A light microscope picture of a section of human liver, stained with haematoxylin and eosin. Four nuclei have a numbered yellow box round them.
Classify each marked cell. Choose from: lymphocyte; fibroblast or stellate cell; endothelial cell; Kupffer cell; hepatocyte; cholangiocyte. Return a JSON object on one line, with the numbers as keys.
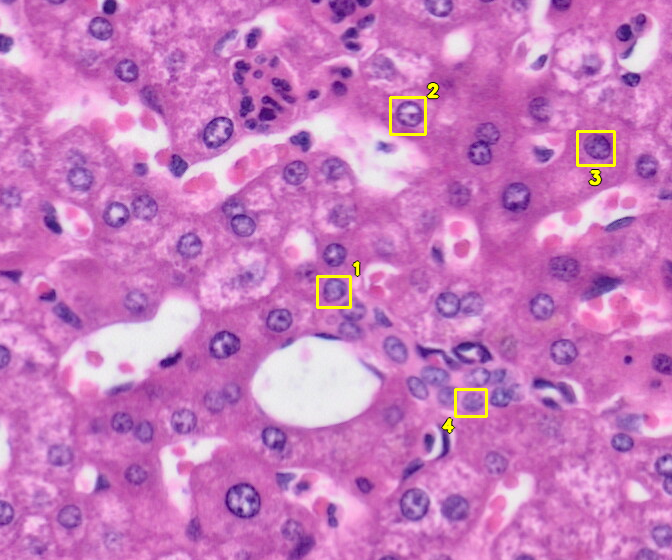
{"1": "cholangiocyte", "2": "hepatocyte", "3": "hepatocyte", "4": "cholangiocyte"}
